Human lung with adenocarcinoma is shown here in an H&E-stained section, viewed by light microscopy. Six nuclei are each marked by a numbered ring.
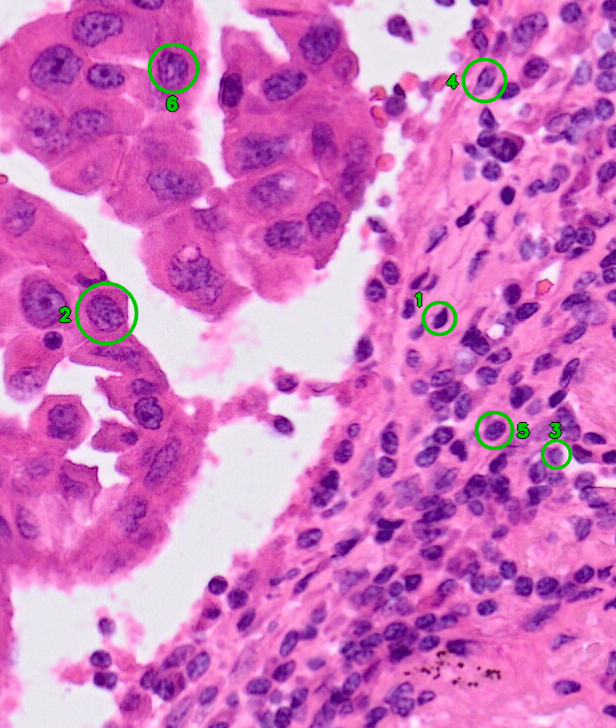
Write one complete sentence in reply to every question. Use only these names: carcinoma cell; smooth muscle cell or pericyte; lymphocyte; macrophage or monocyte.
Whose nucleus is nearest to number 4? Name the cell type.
The nucleus nearest to number 4 is that of a lymphocyte.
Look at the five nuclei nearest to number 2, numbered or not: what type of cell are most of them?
The majority of the five nuclei closest to number 2 belong to carcinoma cells.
